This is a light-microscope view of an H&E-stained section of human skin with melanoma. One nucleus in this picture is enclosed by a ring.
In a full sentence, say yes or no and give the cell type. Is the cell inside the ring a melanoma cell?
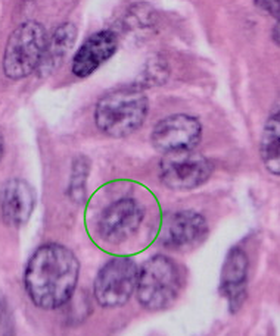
Yes, the cell inside the ring is properly called a melanoma cell in this section.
